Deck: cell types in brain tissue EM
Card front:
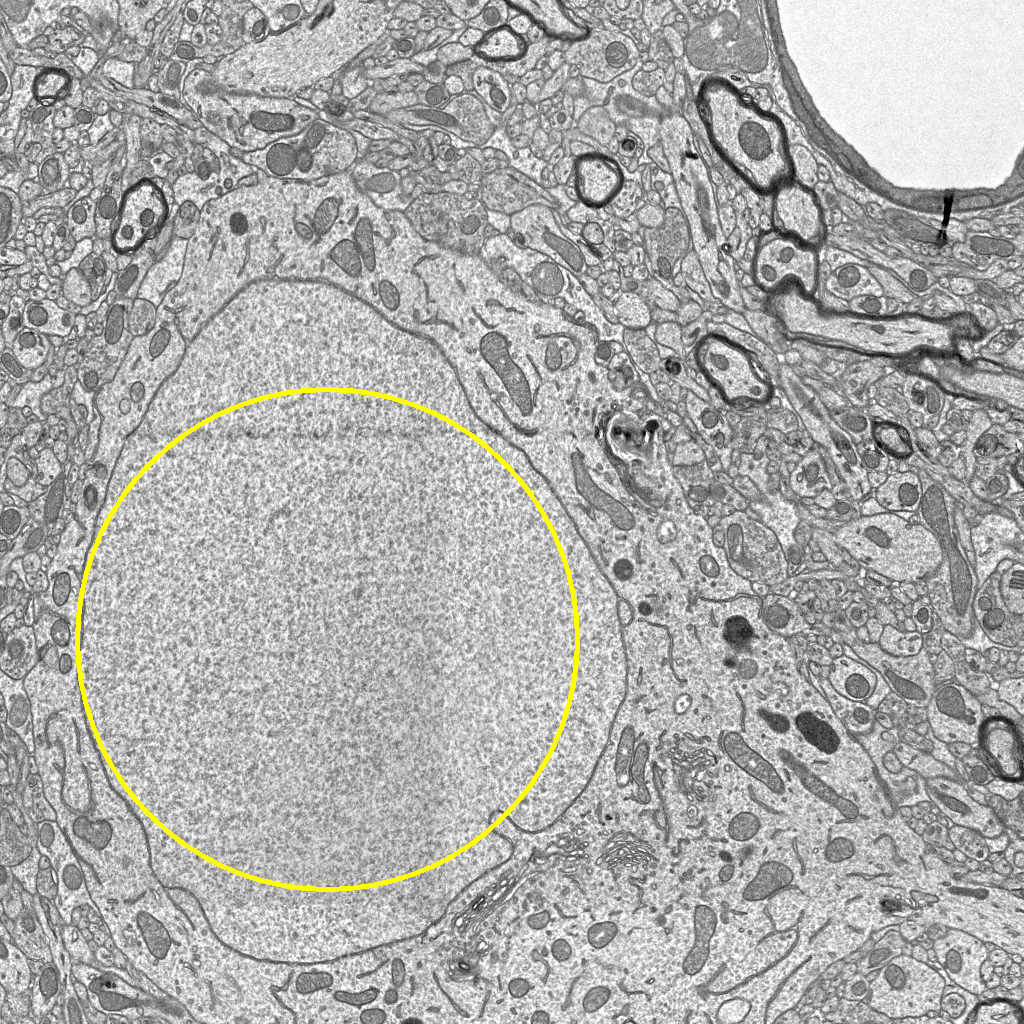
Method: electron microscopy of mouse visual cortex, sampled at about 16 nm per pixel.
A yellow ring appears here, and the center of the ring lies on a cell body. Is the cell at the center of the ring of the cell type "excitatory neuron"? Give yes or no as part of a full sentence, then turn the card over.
Yes, on this card the center of the yellow ring lies on a cell of that type.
